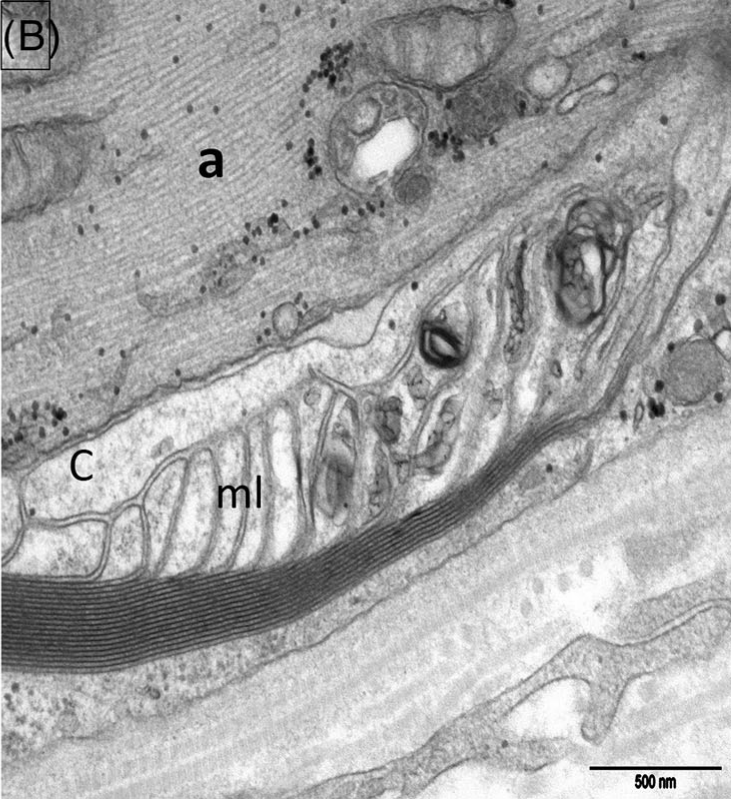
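This longitudinal electron micrograph of a myelinated nerve fibre shows a paranodal region with compact myelin as a thick band of dark parallel lamellae running along the lower part. Above it, a row of terminal myelin loops stands like regularly spaced partitions. Between these loops and the axon lies a pale, membrane-bound cellular process that keeps the loops apart from the axon surface. The axon above has longitudinally streaked axoplasm with mitochondria and dense granules, and debris-containing profiles with whorled membranes lie within the paranodal region.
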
